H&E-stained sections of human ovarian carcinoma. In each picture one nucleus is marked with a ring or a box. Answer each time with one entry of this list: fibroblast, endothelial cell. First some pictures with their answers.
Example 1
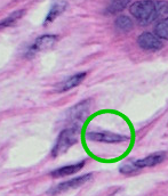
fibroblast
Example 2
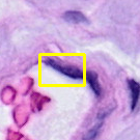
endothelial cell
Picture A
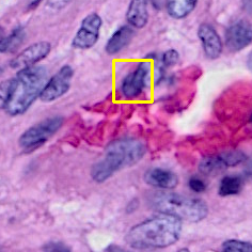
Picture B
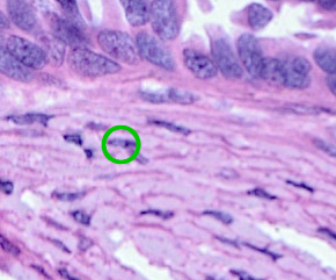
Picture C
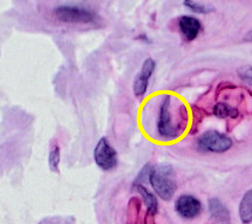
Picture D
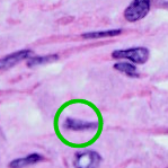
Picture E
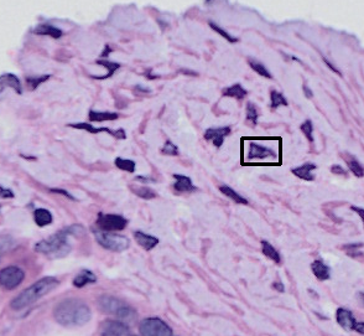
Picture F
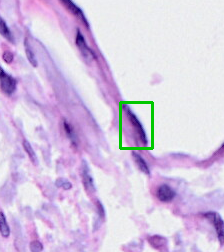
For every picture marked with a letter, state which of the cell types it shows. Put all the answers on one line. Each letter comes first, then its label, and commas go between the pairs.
A endothelial cell, B fibroblast, C endothelial cell, D fibroblast, E fibroblast, F endothelial cell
